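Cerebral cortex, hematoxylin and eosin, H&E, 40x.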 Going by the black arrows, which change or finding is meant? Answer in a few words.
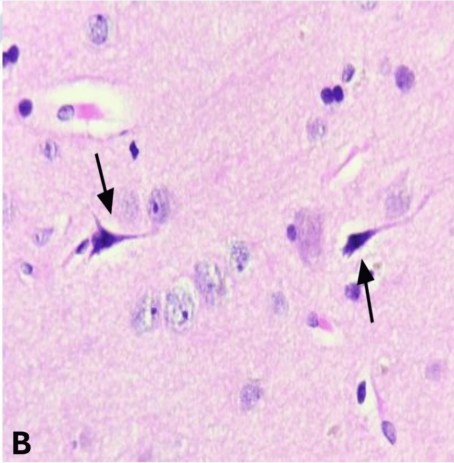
Focal neuronal atrophy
